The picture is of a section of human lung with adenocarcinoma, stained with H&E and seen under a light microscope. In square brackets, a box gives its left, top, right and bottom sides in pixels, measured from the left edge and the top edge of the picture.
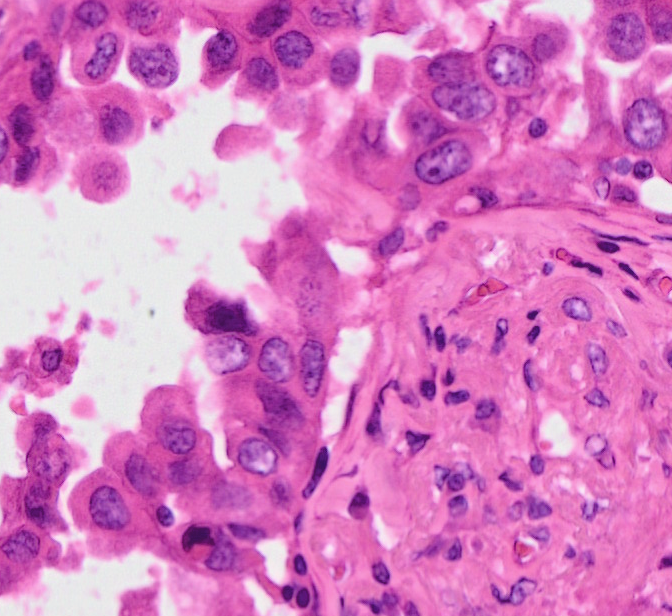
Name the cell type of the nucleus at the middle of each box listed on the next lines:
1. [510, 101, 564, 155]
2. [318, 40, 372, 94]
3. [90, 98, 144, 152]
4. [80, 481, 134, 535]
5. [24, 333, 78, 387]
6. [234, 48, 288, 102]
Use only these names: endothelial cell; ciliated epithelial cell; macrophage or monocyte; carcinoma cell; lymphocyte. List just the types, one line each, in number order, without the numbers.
lymphocyte
carcinoma cell
carcinoma cell
carcinoma cell
macrophage or monocyte
carcinoma cell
